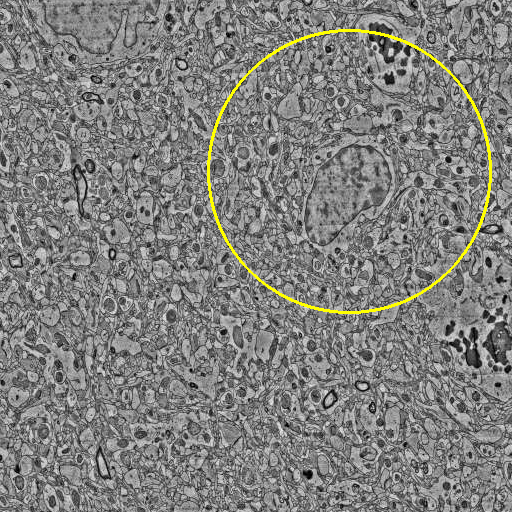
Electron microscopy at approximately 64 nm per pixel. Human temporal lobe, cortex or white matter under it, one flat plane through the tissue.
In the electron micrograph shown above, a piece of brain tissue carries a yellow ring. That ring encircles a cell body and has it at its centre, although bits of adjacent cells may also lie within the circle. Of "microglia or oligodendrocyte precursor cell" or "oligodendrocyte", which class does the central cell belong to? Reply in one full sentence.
The cell body at the centre of the yellow ring belongs to a microglial cell or oligodendrocyte precursor cell.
